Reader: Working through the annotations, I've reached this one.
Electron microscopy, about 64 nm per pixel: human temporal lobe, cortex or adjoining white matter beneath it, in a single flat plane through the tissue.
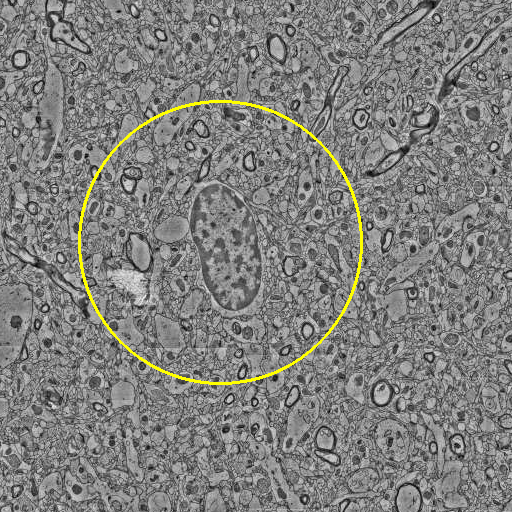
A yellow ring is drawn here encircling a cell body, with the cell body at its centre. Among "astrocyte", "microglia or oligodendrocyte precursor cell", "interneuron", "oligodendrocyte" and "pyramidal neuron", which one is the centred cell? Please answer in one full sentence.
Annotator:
The cell body at the centre of the yellow ring in this image belongs to a microglial cell or oligodendrocyte precursor cell.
